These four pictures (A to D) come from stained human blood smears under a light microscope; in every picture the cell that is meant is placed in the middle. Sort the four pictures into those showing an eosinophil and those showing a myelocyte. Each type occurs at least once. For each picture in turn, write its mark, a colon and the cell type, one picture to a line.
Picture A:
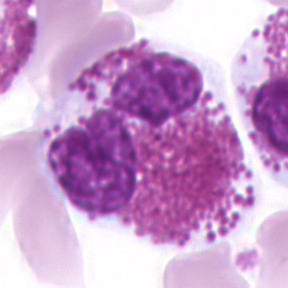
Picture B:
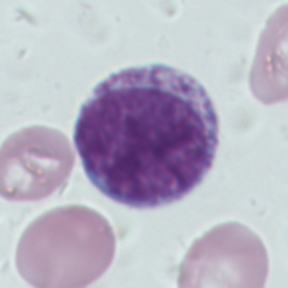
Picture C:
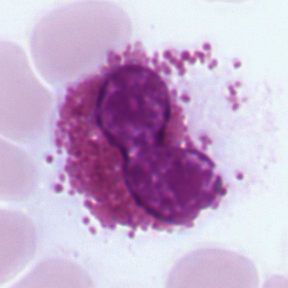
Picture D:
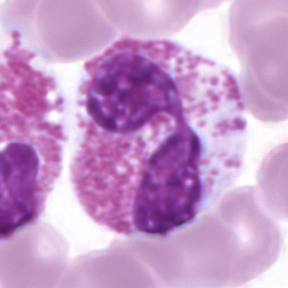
A: eosinophil
B: myelocyte
C: eosinophil
D: eosinophil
